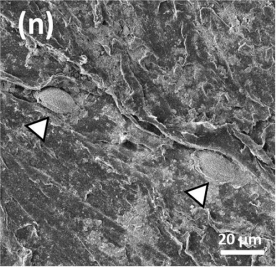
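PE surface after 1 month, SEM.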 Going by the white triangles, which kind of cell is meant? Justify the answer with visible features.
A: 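Oval, smooth-outlined cells lie sunk in the fibrous surface. The triangles point at these two oval bodies.
Diatoms.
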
